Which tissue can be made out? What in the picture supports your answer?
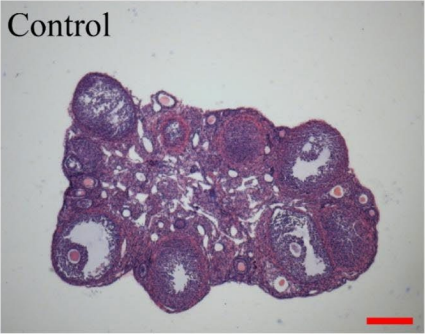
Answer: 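Ovaries. Several large rounded structures contain clear fluid-filled cavities. Looser stromal tissue fills the center of the section.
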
